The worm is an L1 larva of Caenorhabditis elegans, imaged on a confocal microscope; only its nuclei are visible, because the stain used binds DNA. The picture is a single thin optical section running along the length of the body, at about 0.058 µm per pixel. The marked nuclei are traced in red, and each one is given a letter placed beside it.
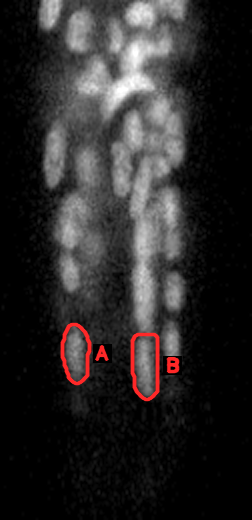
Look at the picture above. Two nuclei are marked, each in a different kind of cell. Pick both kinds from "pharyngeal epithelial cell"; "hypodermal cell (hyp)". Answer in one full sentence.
A is from a hypodermal cell (hyp), and B is from a pharyngeal epithelial cell.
